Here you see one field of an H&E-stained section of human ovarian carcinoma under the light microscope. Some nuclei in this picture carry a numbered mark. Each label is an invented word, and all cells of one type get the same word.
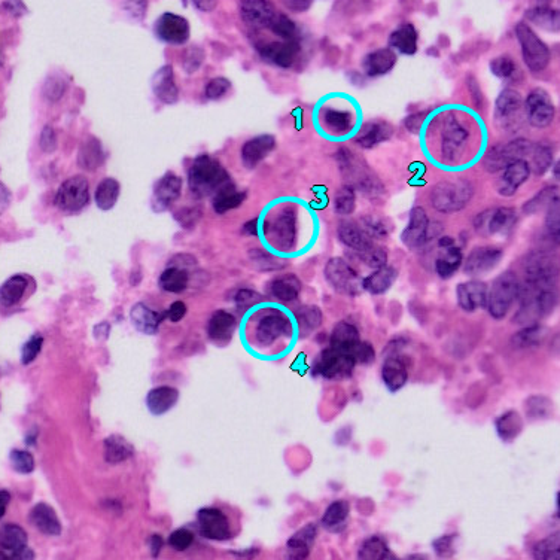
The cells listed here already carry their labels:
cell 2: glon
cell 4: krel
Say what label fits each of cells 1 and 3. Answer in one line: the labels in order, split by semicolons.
krel; krel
